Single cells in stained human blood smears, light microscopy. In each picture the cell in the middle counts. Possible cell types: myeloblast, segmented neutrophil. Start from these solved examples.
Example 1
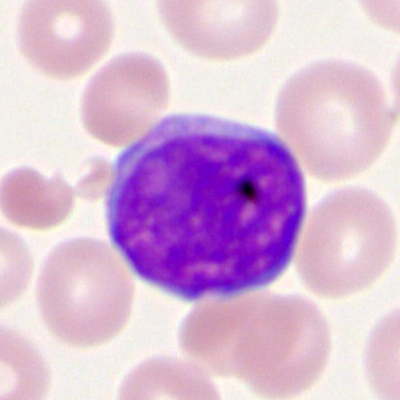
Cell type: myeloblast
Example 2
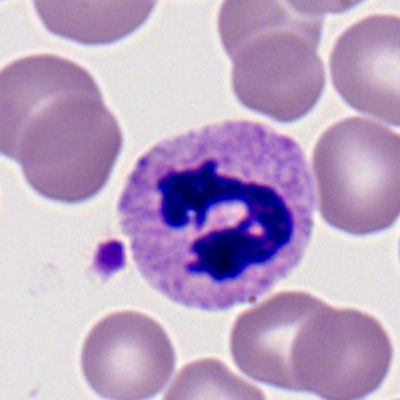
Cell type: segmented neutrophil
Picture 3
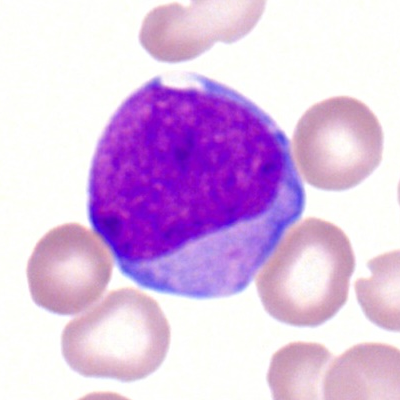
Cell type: myeloblast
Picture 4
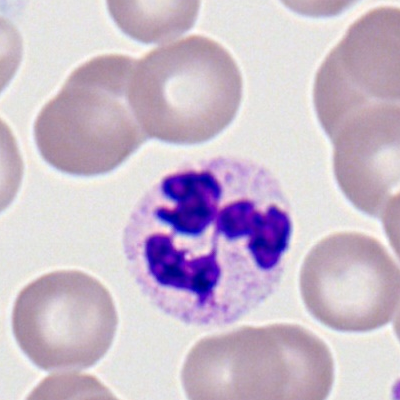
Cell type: segmented neutrophil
